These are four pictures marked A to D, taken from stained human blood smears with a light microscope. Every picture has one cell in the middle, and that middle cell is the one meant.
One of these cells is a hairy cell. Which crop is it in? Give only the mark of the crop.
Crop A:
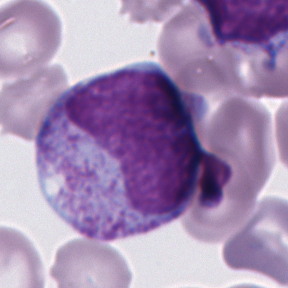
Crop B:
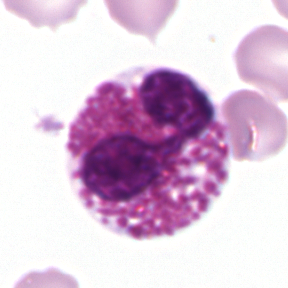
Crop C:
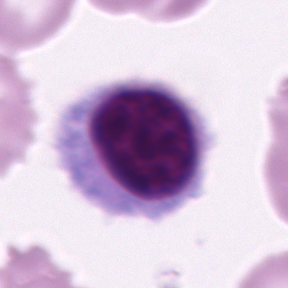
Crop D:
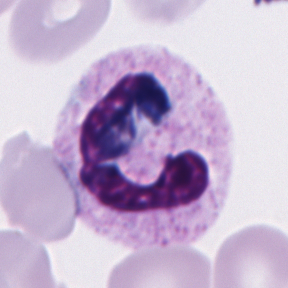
C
